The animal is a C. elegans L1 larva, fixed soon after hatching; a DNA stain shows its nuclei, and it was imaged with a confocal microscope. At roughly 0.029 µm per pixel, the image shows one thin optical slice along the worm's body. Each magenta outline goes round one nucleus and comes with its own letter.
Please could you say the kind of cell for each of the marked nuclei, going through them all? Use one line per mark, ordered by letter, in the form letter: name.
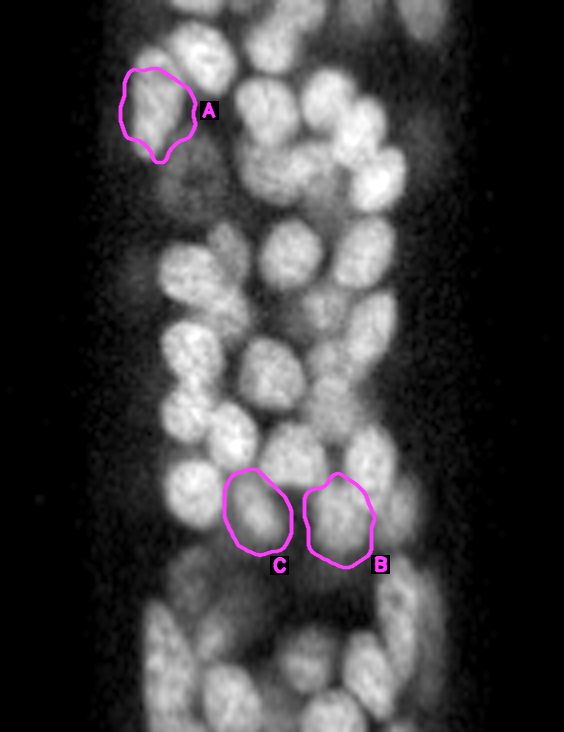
A: body wall muscle cell
B: neuron
C: GLR cell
